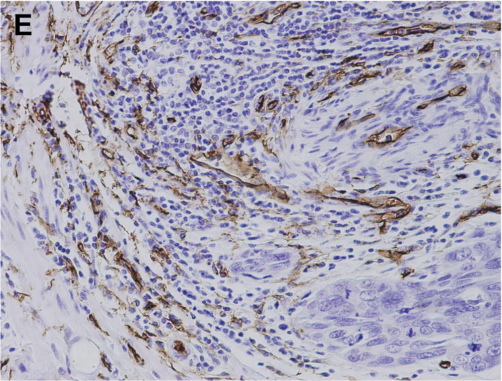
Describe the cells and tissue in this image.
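Tumour stroma crowded with brown-stained endothelial cells lining many elongated and branching small vessels, some with open lumens. Between the vessels lie many small cells with dark round blue nuclei. A nest of tumour cells with larger pale nuclei at lower right is unstained.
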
